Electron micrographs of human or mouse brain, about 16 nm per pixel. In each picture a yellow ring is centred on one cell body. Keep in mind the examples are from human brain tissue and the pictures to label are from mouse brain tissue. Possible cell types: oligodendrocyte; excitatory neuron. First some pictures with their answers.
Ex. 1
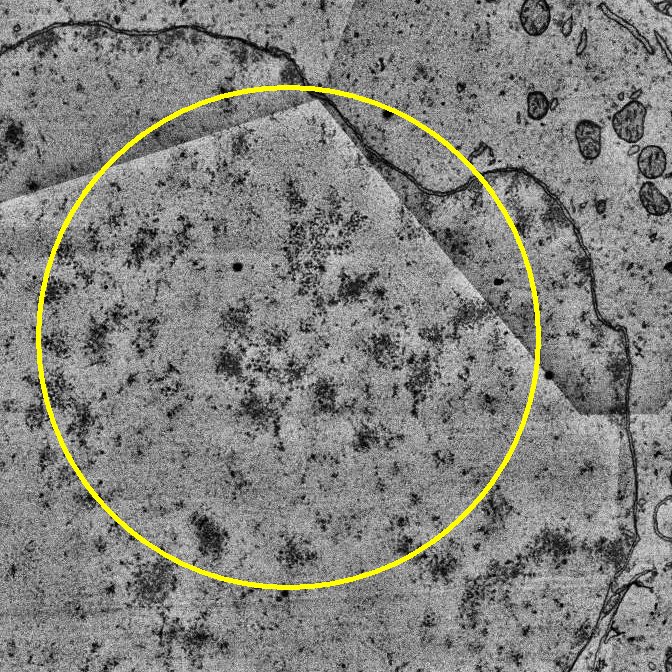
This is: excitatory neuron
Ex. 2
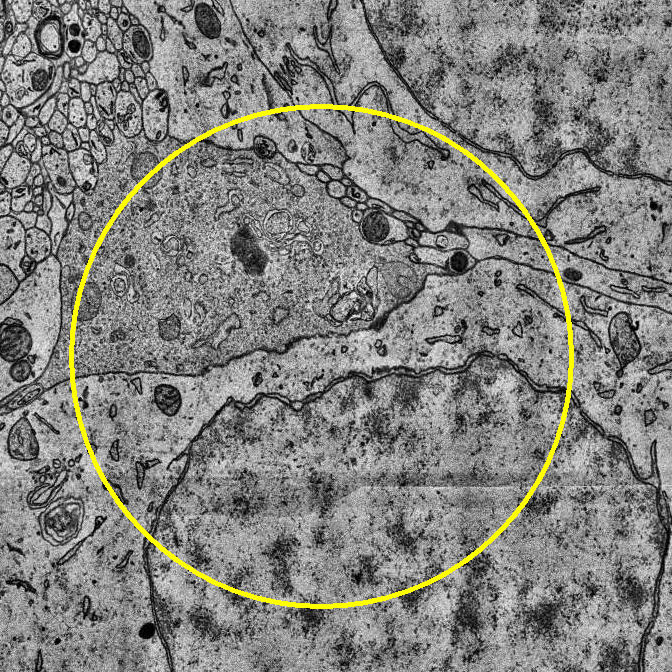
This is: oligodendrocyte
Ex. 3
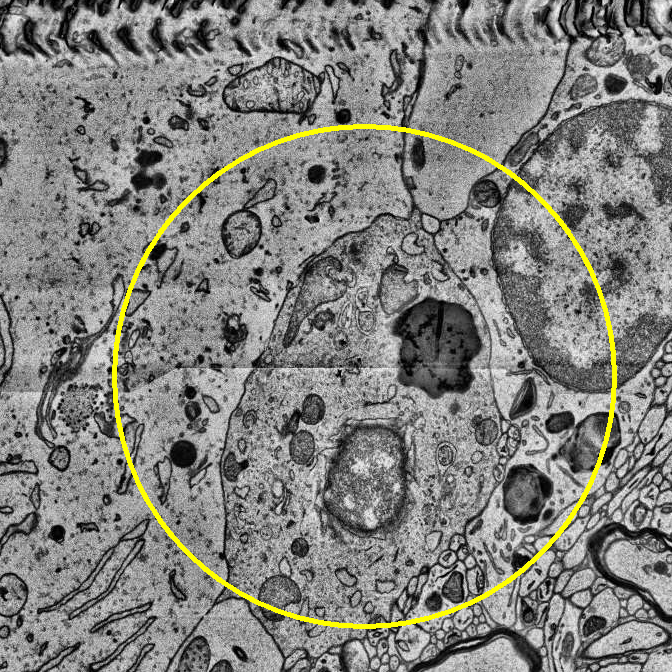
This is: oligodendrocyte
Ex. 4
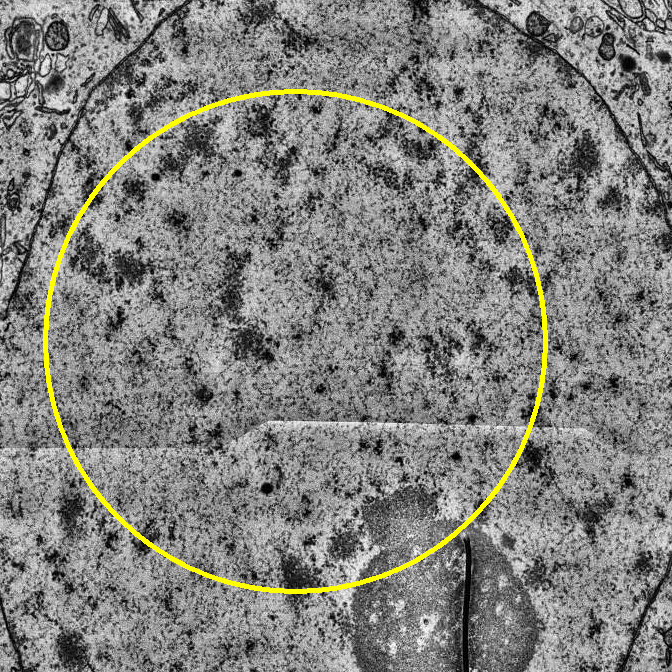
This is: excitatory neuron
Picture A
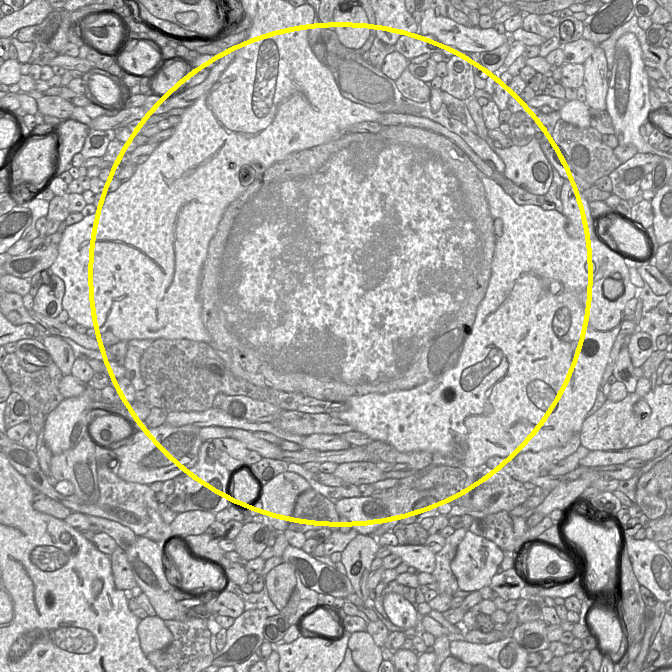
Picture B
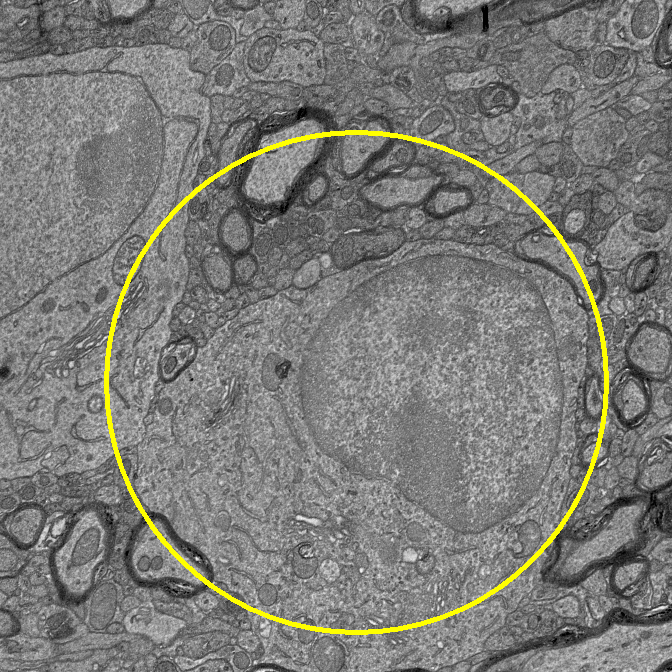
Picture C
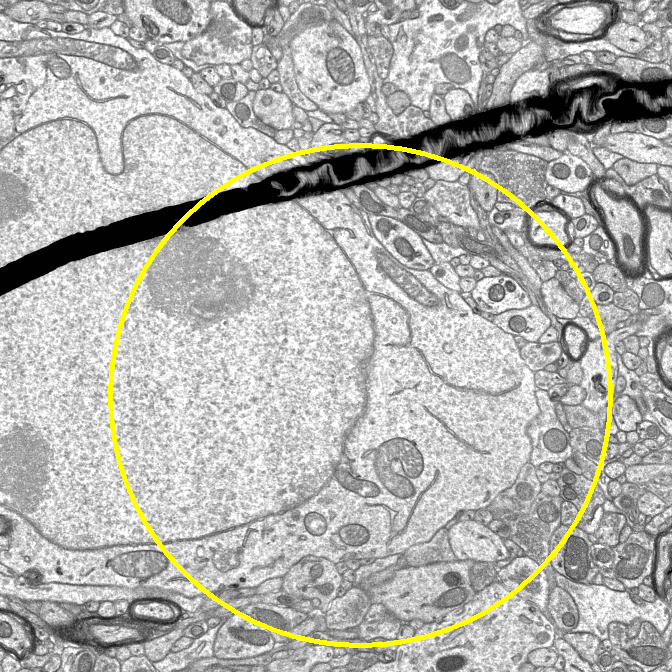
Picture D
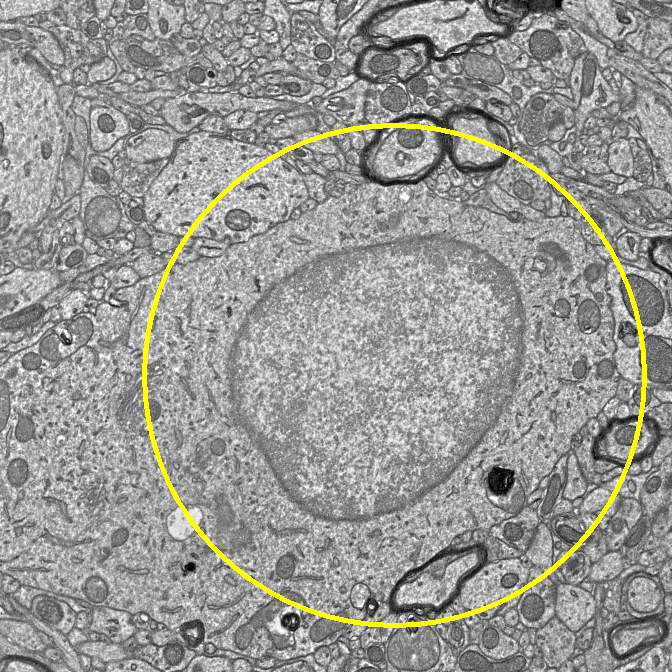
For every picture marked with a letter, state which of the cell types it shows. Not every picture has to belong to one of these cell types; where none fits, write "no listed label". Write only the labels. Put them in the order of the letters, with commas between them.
oligodendrocyte, oligodendrocyte, oligodendrocyte, oligodendrocyte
